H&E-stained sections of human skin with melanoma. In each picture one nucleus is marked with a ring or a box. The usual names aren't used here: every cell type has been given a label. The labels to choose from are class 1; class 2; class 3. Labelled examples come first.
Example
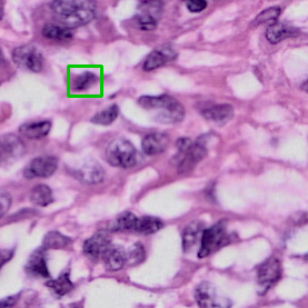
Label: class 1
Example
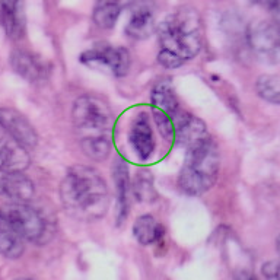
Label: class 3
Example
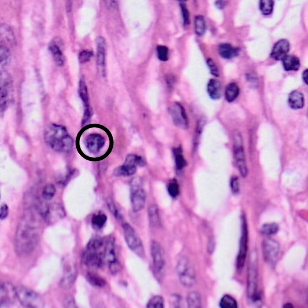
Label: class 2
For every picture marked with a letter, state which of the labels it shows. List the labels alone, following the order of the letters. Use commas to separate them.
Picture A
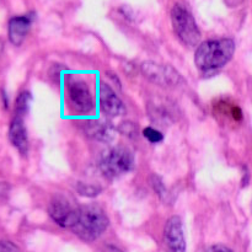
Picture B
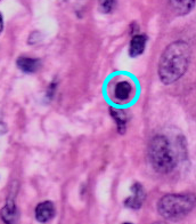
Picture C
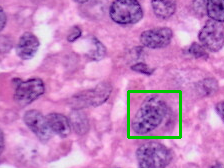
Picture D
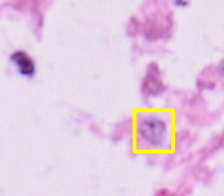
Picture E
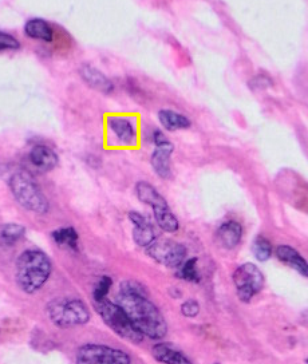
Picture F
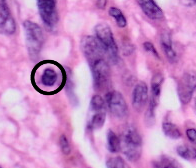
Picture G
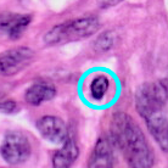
class 3, class 2, class 3, class 1, class 1, class 2, class 2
